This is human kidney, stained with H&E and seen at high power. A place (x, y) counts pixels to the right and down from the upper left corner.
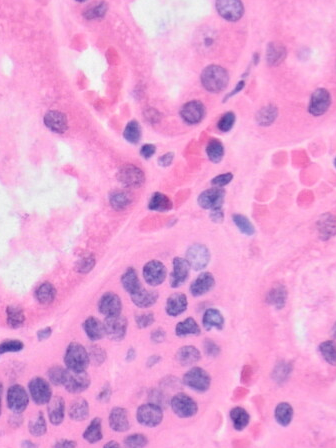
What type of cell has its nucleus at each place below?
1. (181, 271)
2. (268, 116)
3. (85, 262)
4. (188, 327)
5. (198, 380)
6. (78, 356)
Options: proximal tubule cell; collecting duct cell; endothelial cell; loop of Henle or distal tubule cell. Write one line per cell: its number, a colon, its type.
1: collecting duct cell
2: proximal tubule cell
3: proximal tubule cell
4: collecting duct cell
5: collecting duct cell
6: collecting duct cell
